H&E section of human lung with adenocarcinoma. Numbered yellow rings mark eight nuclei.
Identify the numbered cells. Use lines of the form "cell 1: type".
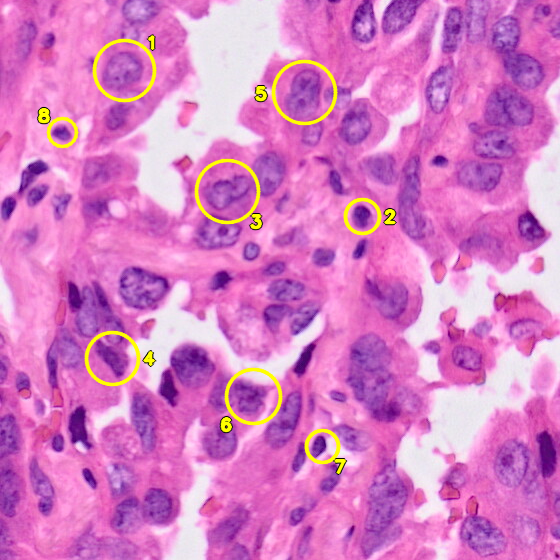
cell 1: carcinoma cell
cell 2: lymphocyte
cell 3: carcinoma cell
cell 4: carcinoma cell
cell 5: carcinoma cell
cell 6: carcinoma cell
cell 7: lymphocyte
cell 8: lymphocyte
